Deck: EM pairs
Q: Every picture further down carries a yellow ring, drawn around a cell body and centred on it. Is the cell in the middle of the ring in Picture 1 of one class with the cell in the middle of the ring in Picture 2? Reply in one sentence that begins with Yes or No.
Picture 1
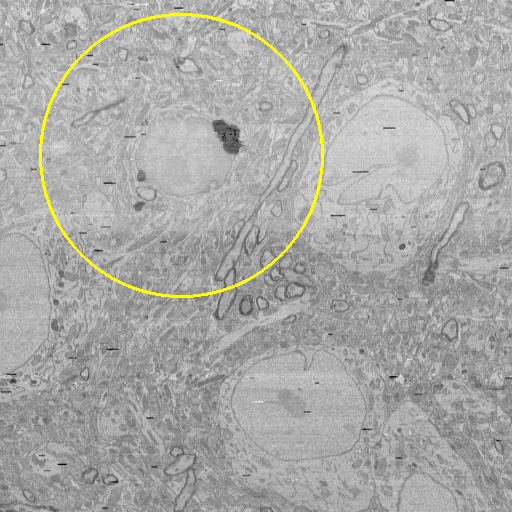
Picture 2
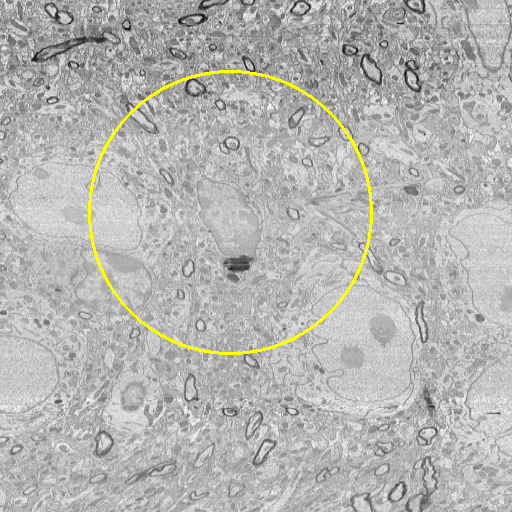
Yes, the cell centred in the ring of Picture 1 and the one in Picture 2 belong to one class.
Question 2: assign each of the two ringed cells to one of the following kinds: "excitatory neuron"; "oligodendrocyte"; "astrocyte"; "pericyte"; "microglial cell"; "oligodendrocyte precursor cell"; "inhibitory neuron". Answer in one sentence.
Each of the two pictures has a microglial cell at the ring centre.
